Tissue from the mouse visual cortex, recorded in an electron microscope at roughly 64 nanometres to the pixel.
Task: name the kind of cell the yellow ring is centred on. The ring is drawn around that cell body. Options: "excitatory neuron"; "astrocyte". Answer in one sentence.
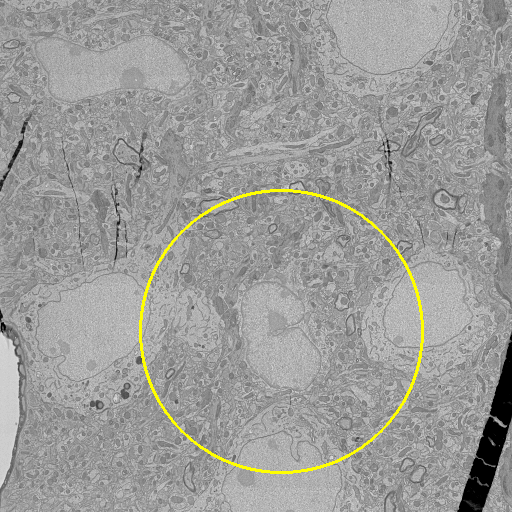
This cell body belongs to an astrocyte.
